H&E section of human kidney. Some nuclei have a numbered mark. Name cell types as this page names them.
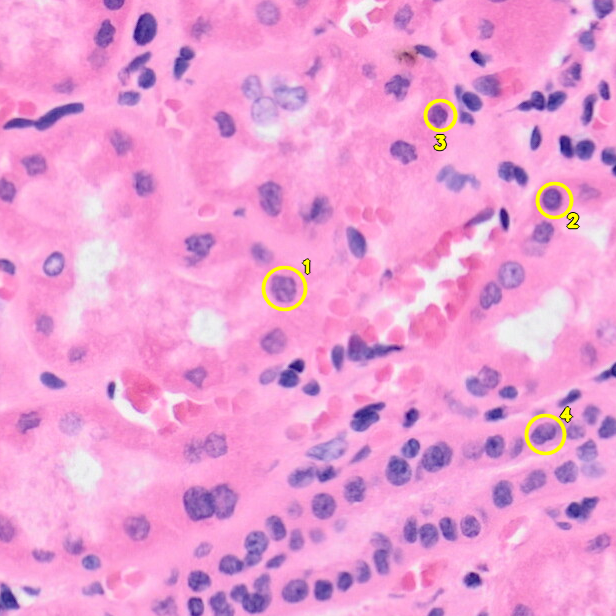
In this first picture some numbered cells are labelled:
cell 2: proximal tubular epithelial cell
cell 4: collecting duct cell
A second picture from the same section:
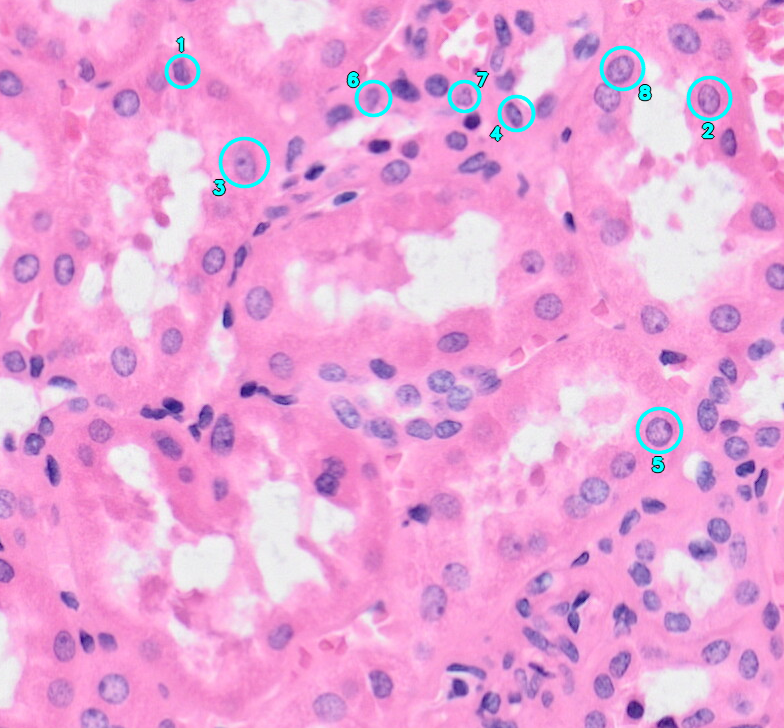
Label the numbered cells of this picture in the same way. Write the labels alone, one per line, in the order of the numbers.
proximal tubular epithelial cell
proximal tubular epithelial cell
proximal tubular epithelial cell
collecting duct cell
proximal tubular epithelial cell
collecting duct cell
collecting duct cell
proximal tubular epithelial cell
